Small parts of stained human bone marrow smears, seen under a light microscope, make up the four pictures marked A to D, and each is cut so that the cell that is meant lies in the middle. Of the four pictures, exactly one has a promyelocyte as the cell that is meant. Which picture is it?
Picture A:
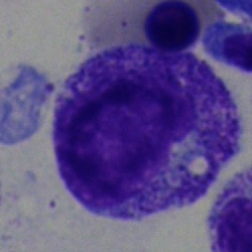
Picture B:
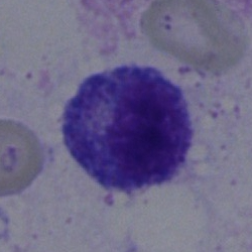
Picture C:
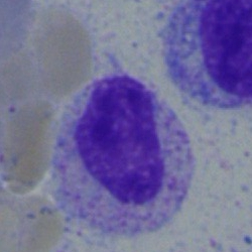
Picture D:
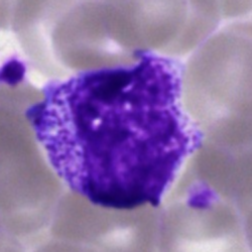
B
